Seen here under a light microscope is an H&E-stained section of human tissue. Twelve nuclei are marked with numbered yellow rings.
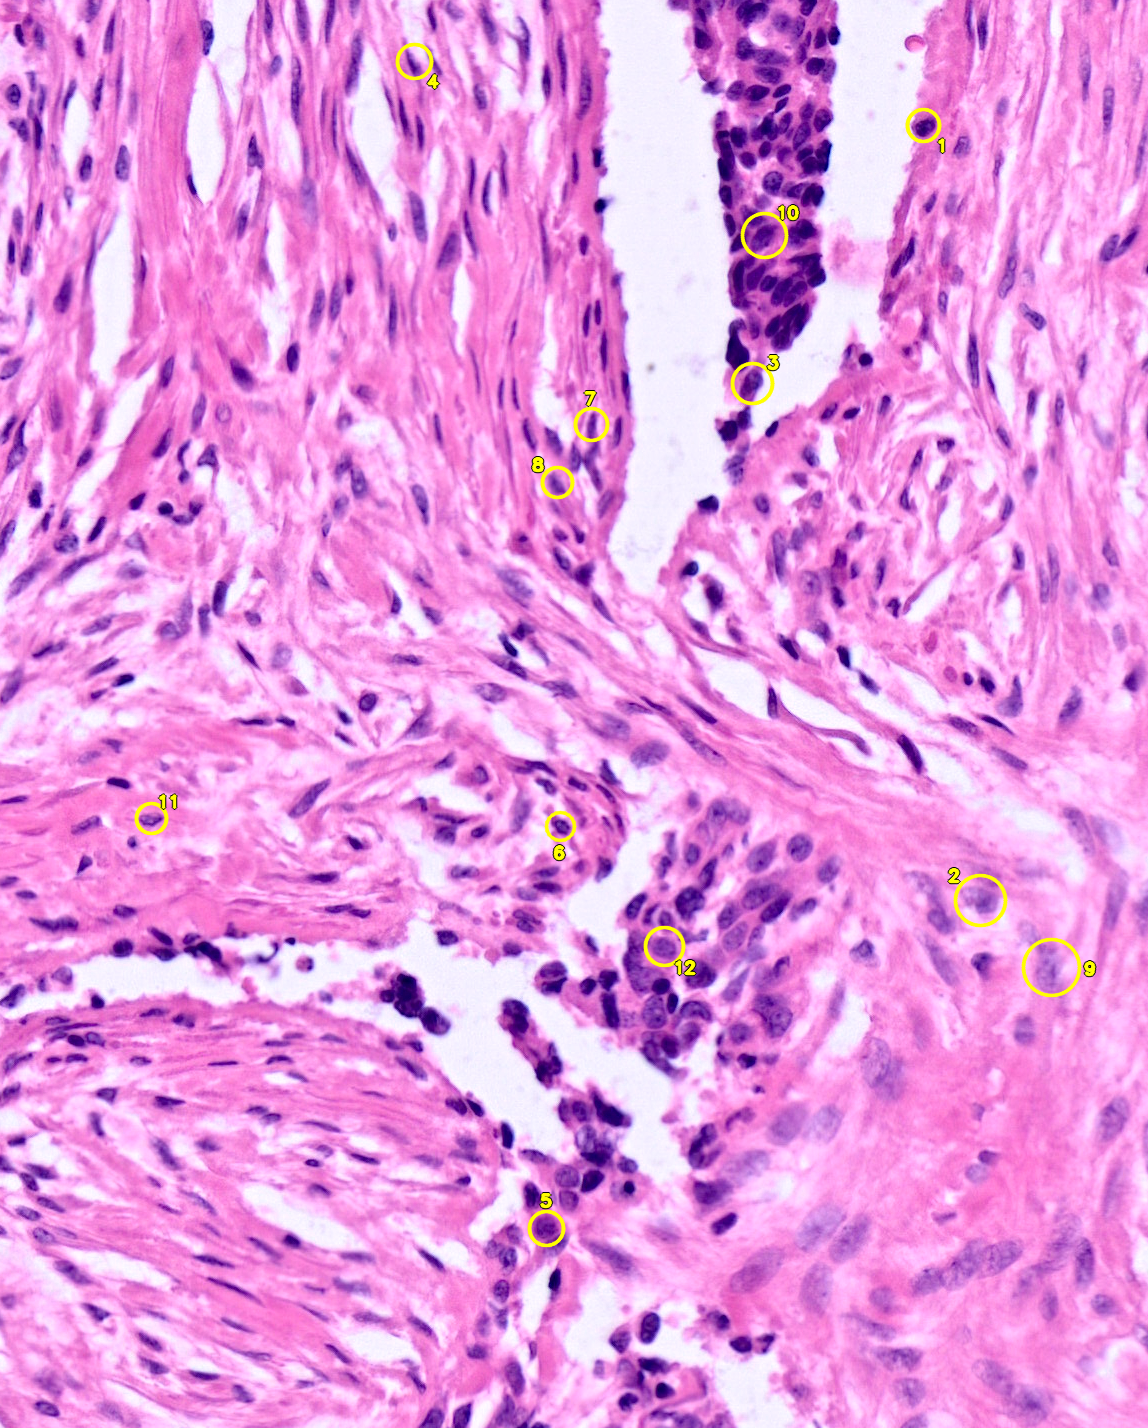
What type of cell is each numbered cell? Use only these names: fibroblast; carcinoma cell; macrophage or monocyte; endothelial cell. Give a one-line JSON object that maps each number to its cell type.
{"1": "macrophage or monocyte", "2": "fibroblast", "3": "carcinoma cell", "4": "fibroblast", "5": "carcinoma cell", "6": "fibroblast", "7": "fibroblast", "8": "fibroblast", "9": "fibroblast", "10": "carcinoma cell", "11": "fibroblast", "12": "carcinoma cell"}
